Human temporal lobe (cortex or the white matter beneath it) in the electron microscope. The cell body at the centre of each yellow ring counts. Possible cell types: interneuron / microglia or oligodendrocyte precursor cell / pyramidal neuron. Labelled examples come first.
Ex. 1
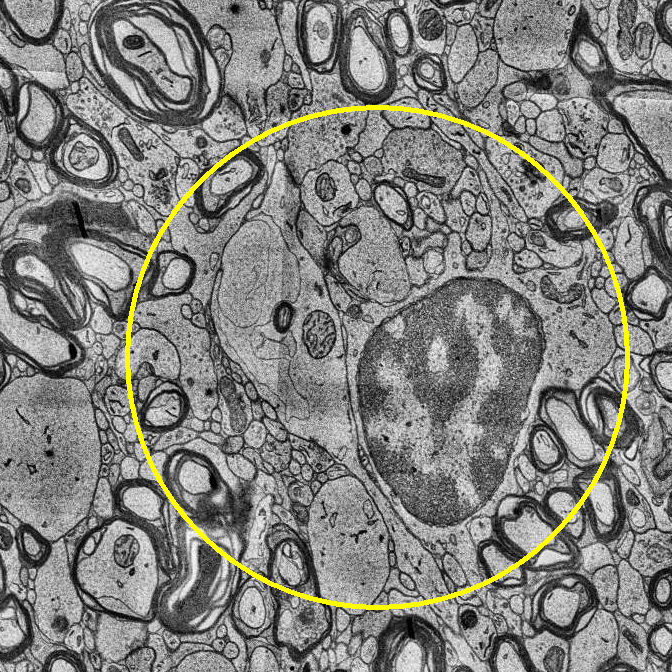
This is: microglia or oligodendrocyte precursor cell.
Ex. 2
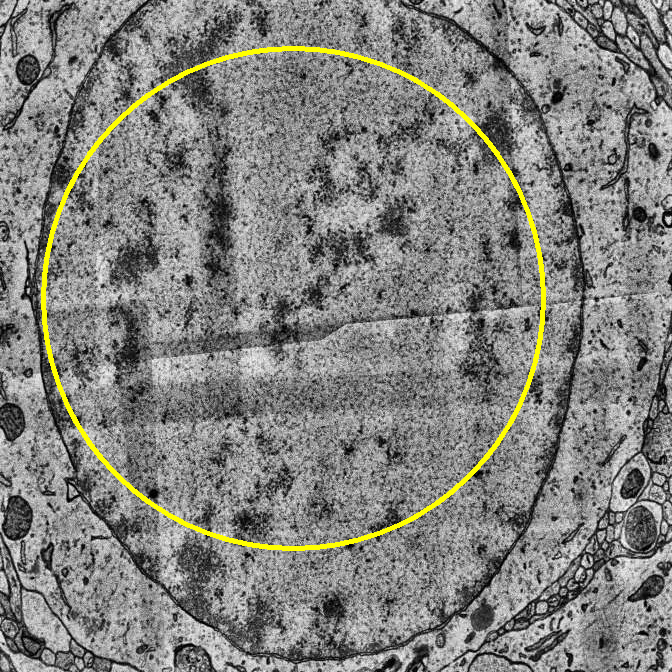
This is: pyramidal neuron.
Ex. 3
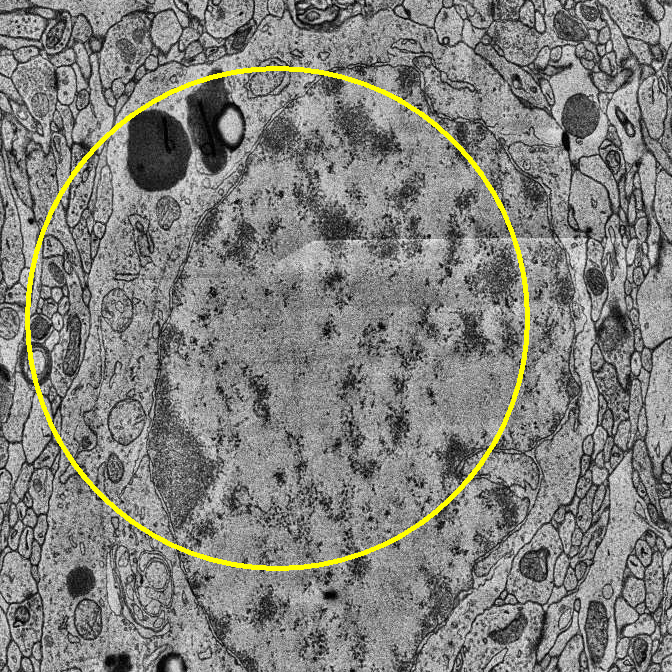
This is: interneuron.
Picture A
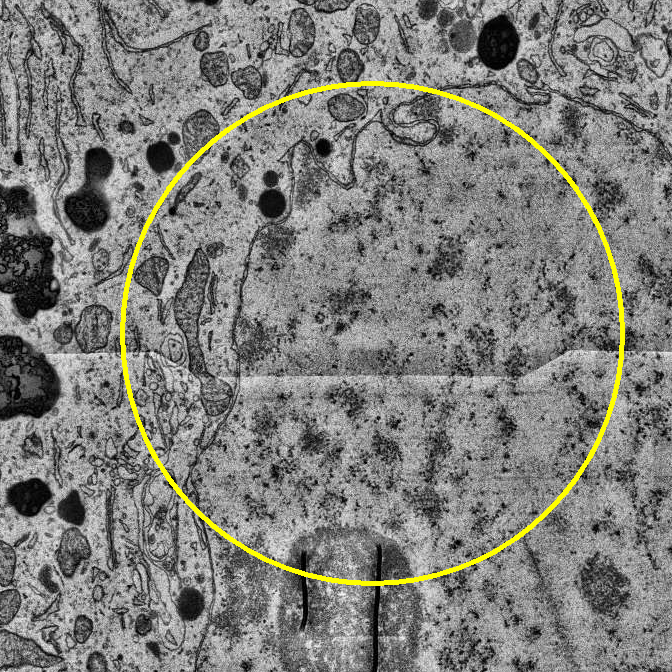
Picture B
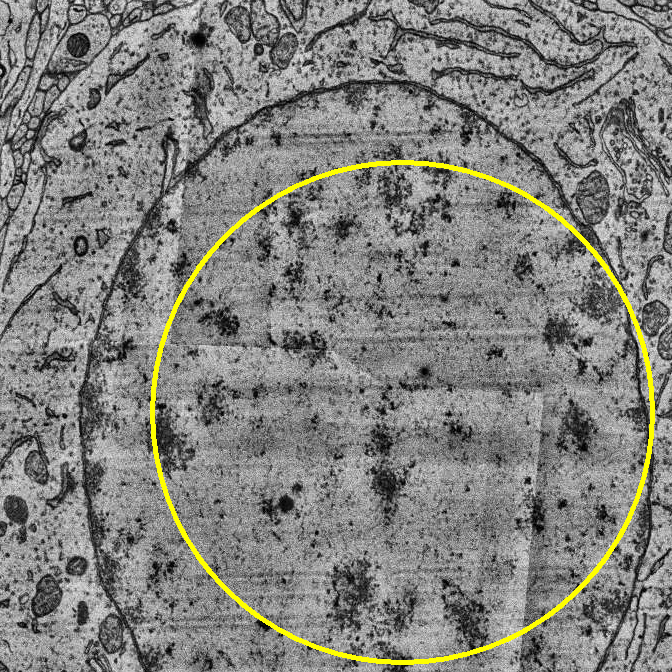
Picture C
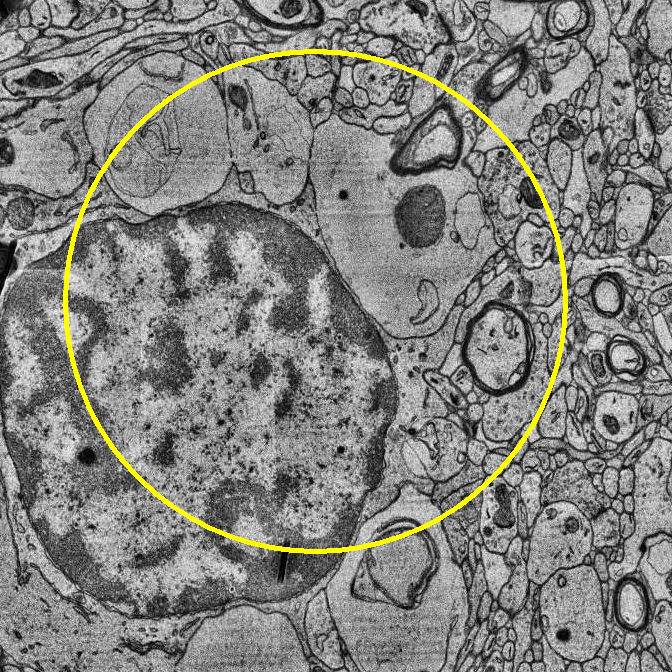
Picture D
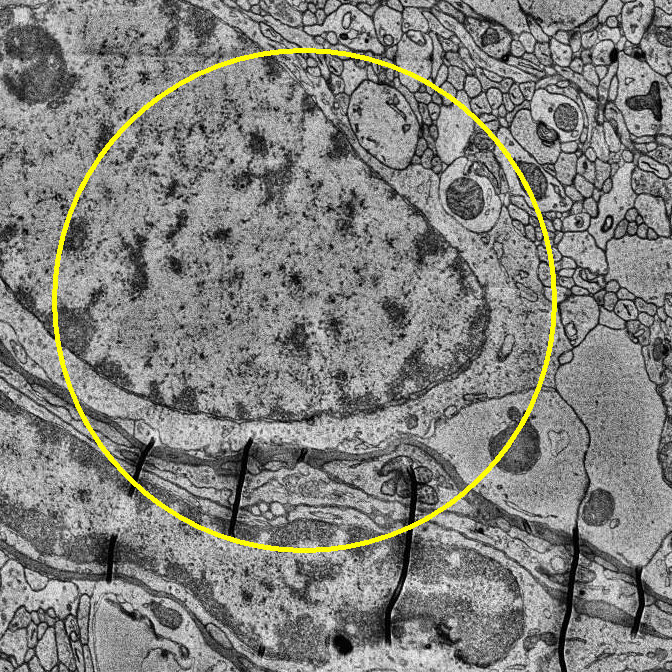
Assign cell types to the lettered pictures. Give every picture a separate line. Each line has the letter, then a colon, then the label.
A: interneuron.
B: pyramidal neuron.
C: microglia or oligodendrocyte precursor cell.
D: microglia or oligodendrocyte precursor cell.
